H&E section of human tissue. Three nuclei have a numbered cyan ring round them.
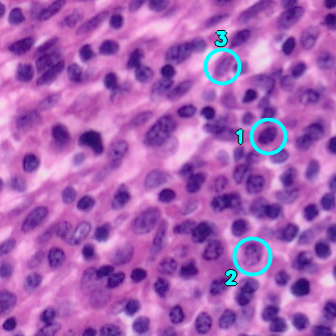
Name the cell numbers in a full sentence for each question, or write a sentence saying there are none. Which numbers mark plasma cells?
The numbers 1 and 2 mark cells that are plasma cells.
